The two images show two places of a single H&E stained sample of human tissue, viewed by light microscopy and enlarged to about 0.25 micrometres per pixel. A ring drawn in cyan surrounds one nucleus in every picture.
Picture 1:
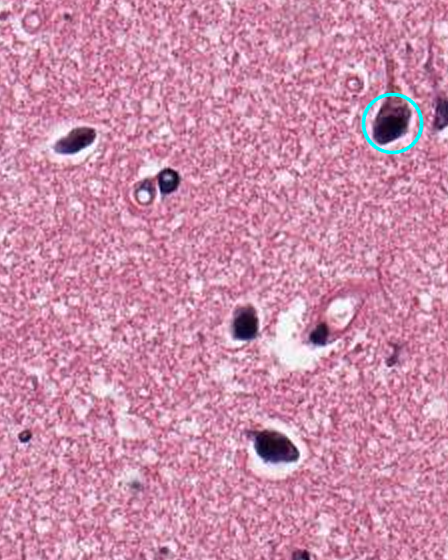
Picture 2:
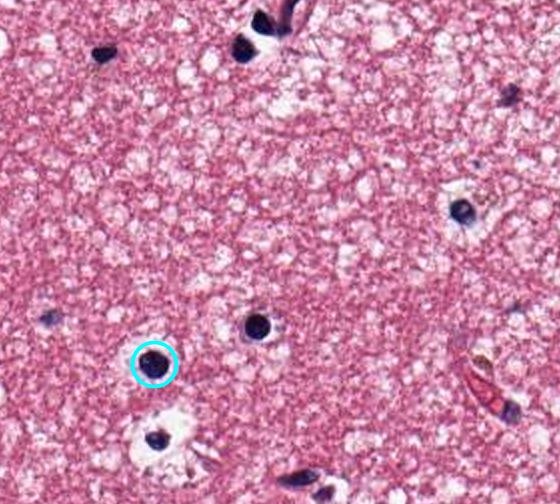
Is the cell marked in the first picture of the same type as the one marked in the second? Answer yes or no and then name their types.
No, the first is a neuron and the second an oligodendrocyte.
